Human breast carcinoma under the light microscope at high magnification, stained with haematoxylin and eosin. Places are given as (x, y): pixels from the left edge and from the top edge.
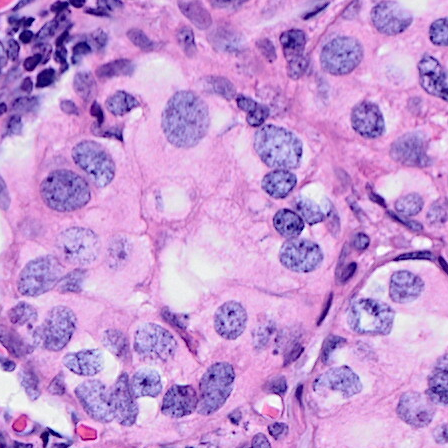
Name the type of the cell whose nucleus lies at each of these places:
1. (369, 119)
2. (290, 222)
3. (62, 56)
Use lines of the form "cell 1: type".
cell 1: carcinoma cell
cell 2: carcinoma cell
cell 3: lymphocyte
